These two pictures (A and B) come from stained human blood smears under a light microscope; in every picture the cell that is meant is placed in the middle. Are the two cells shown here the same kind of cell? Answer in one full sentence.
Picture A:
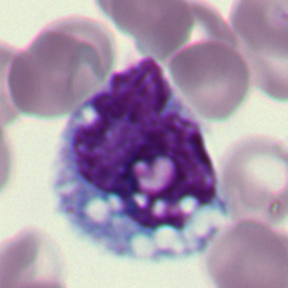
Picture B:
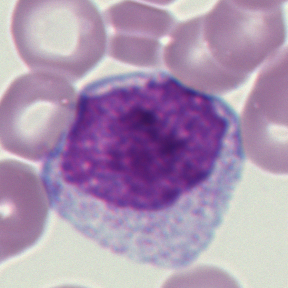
No. Picture A shows a monocyte, but picture B shows a promyelocyte.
